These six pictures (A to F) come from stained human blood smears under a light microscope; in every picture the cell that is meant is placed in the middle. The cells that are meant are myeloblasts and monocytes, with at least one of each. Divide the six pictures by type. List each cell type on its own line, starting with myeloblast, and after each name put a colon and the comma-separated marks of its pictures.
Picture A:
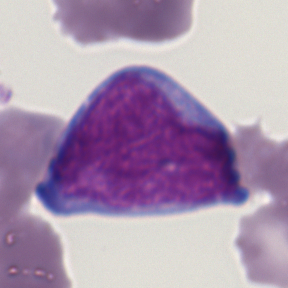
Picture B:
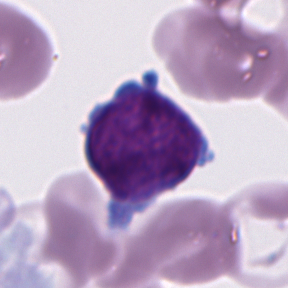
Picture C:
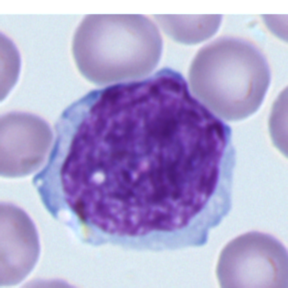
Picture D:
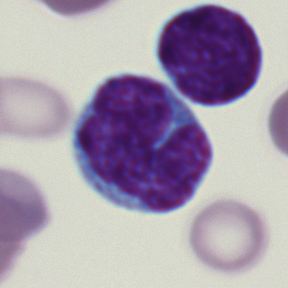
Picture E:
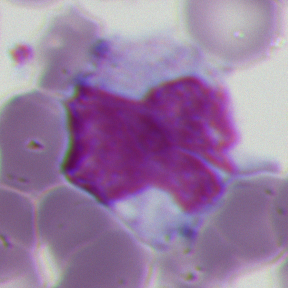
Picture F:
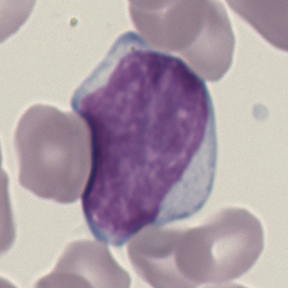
myeloblast: A, B, C, F
monocyte: D, E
